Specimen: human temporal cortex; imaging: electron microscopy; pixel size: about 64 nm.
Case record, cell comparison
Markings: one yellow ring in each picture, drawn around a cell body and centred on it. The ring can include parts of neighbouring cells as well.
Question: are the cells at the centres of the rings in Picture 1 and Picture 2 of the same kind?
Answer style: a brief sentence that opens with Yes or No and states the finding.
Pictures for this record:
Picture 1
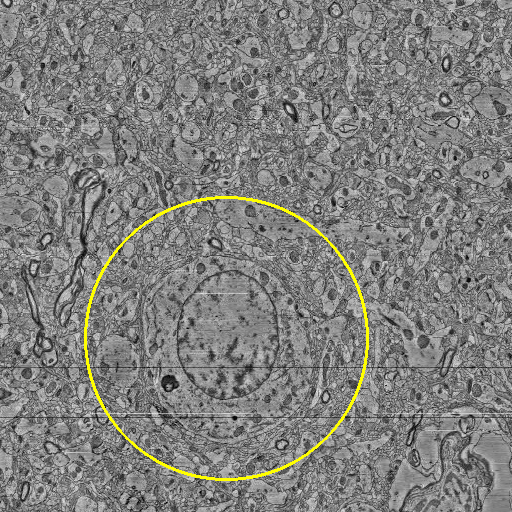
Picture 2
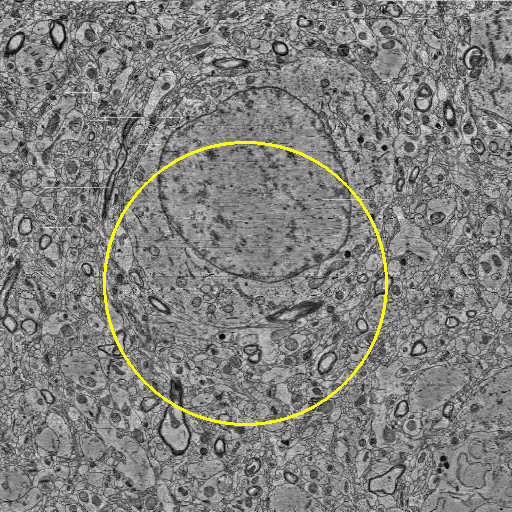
Yes, the cells in Picture 1 and Picture 2 are of the same kind.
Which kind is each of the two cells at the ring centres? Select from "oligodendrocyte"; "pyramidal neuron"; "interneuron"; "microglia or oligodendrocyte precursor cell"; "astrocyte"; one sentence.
Both pictures show a pyramidal neuron at the centre of the ring.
